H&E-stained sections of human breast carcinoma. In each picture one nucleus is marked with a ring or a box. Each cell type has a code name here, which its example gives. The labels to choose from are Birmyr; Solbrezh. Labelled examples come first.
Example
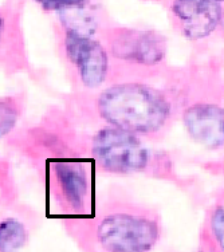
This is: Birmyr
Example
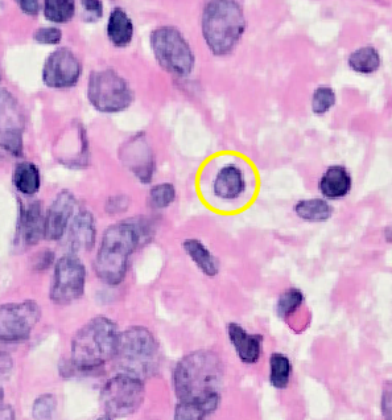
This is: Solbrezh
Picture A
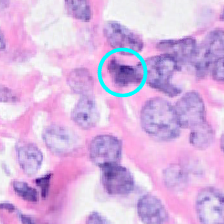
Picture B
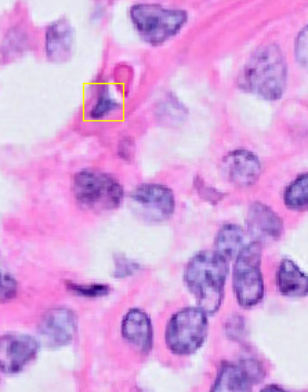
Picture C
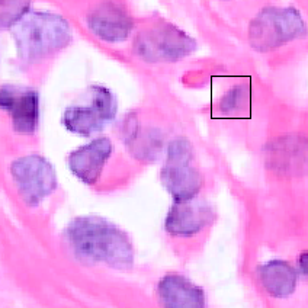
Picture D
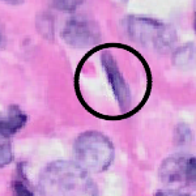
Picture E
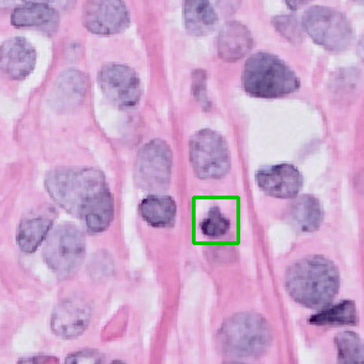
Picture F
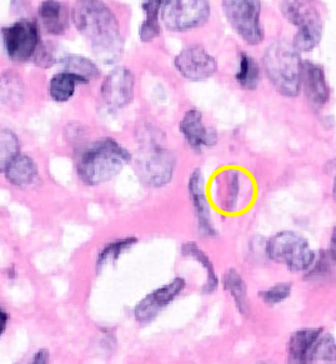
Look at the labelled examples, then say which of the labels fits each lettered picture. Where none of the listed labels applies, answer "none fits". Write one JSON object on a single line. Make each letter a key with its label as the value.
{"A": "none fits", "B": "Birmyr", "C": "Birmyr", "D": "Birmyr", "E": "Solbrezh", "F": "Birmyr"}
